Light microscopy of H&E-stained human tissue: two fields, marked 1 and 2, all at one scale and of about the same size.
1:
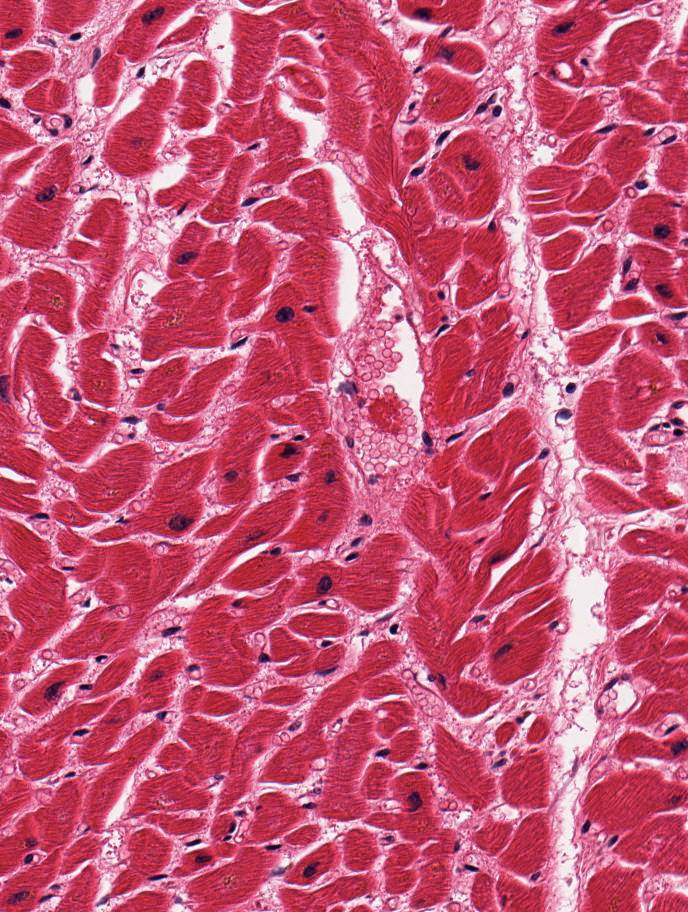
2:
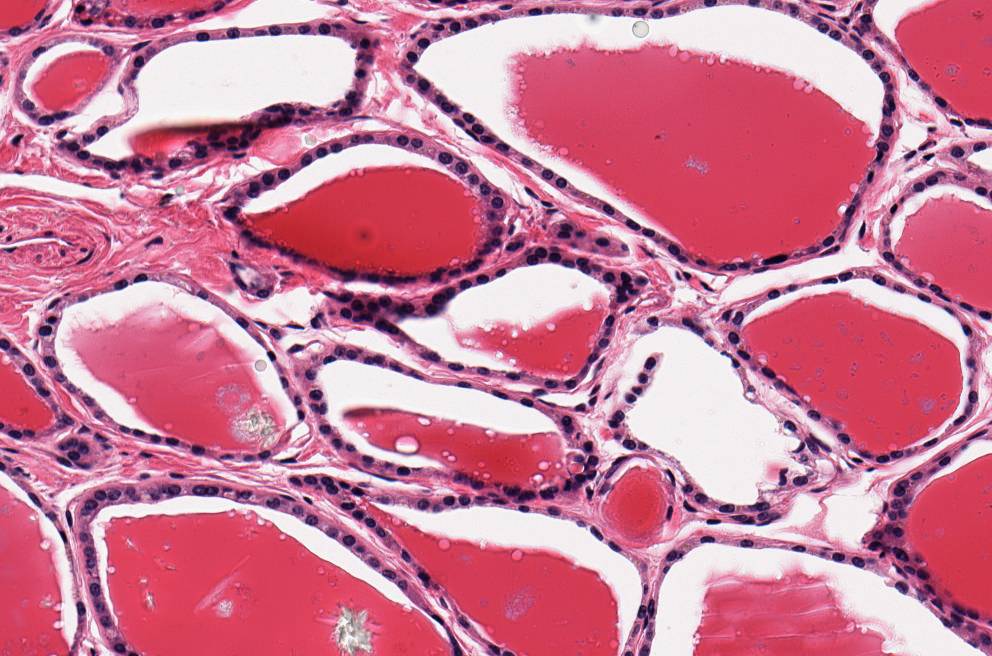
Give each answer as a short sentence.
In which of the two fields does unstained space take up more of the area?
More of picture 2 is empty and white.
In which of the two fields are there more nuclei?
More nuclei lie in picture 2 than in picture 1.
